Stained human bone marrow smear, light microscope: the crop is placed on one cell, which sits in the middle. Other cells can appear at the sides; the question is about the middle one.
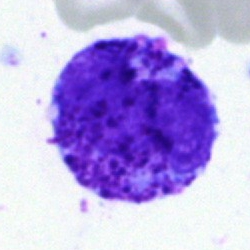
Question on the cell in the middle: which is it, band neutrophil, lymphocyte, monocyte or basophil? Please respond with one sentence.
Positioned in the middle of the crop is a basophil.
